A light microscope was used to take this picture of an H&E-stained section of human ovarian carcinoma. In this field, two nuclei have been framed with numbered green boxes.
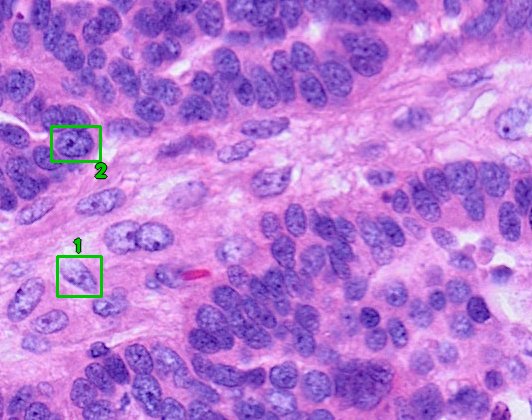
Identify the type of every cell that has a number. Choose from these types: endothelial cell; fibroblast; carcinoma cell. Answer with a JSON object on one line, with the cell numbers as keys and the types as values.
{"1": "fibroblast", "2": "carcinoma cell"}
